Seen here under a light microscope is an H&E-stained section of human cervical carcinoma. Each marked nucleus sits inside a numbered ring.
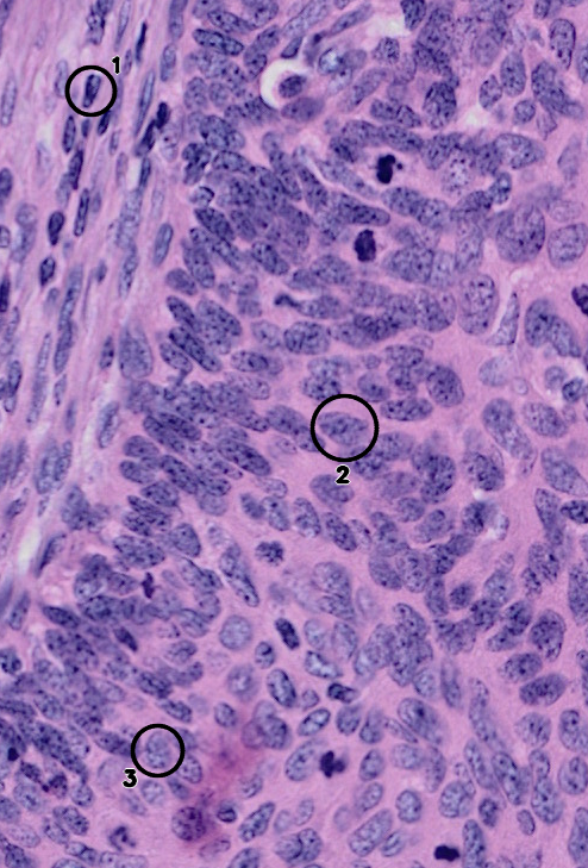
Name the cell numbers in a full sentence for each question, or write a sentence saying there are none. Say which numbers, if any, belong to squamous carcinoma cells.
The cells numbered 2 and 3 are, by type, squamous carcinoma cells.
